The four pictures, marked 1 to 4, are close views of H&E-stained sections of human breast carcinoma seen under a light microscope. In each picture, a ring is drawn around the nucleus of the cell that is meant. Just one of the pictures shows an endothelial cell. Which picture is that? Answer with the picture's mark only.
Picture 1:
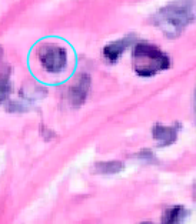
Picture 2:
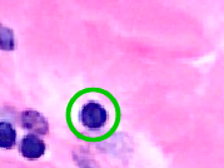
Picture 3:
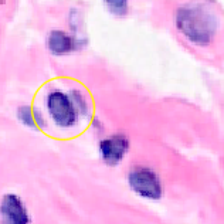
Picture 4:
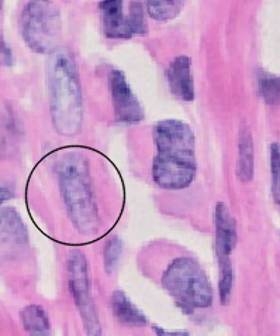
4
